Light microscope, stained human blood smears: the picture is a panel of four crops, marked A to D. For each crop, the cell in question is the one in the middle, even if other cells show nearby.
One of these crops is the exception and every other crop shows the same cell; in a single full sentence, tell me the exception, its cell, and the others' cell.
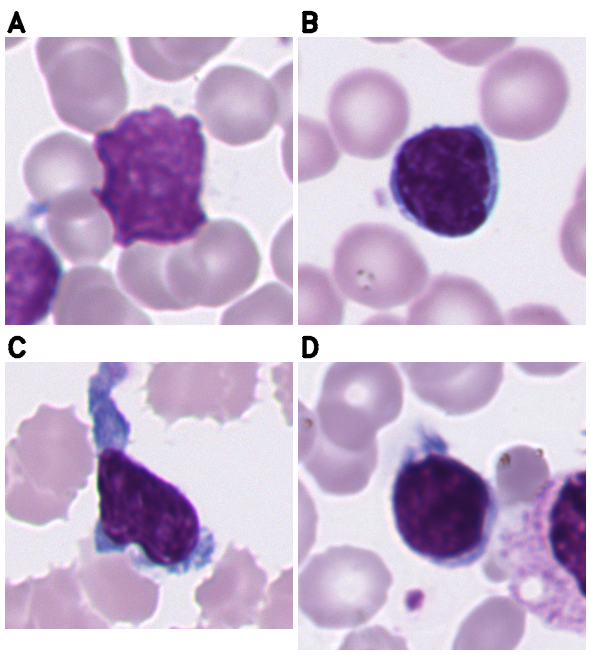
Just crop A is a smudge cell; all the other crops show typical lymphocytes.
